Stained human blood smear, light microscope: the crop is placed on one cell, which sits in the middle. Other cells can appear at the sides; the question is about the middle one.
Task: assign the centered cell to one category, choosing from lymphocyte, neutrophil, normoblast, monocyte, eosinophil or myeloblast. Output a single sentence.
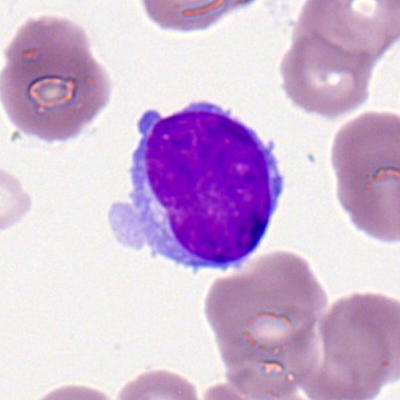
Whatever else lies nearby, the middle cell is a lymphocyte.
